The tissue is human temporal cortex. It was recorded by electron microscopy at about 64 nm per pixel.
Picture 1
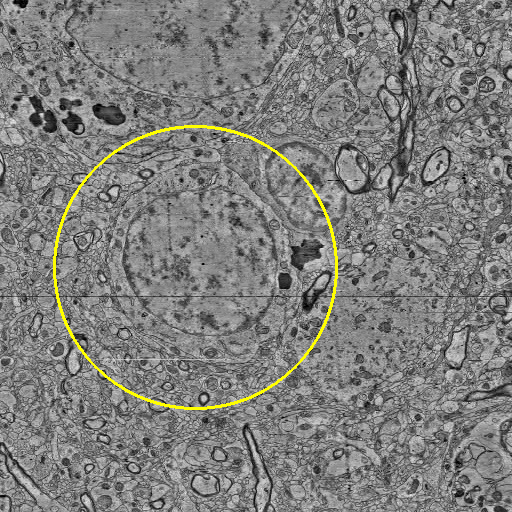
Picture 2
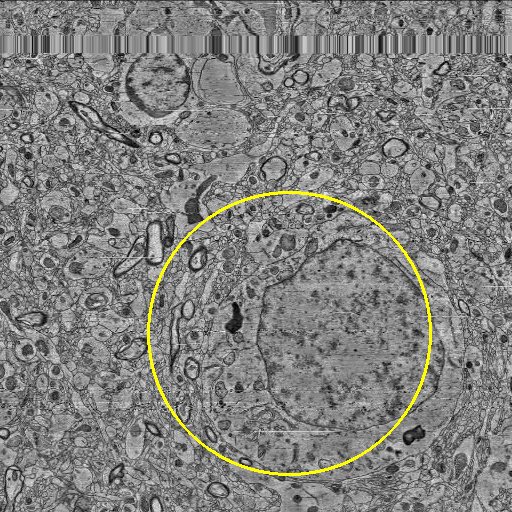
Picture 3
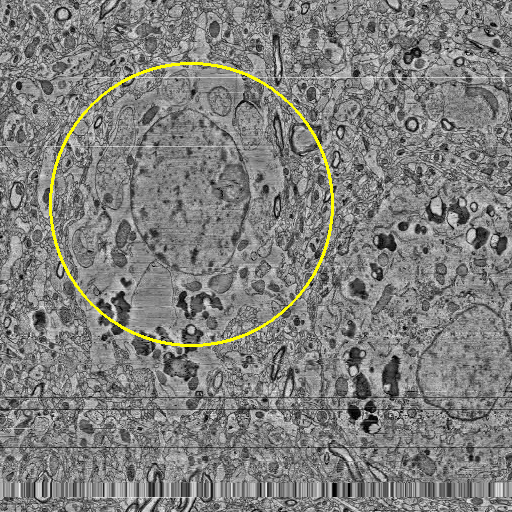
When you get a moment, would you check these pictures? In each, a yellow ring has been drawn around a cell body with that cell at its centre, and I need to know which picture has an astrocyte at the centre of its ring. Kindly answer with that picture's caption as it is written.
Picture 3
